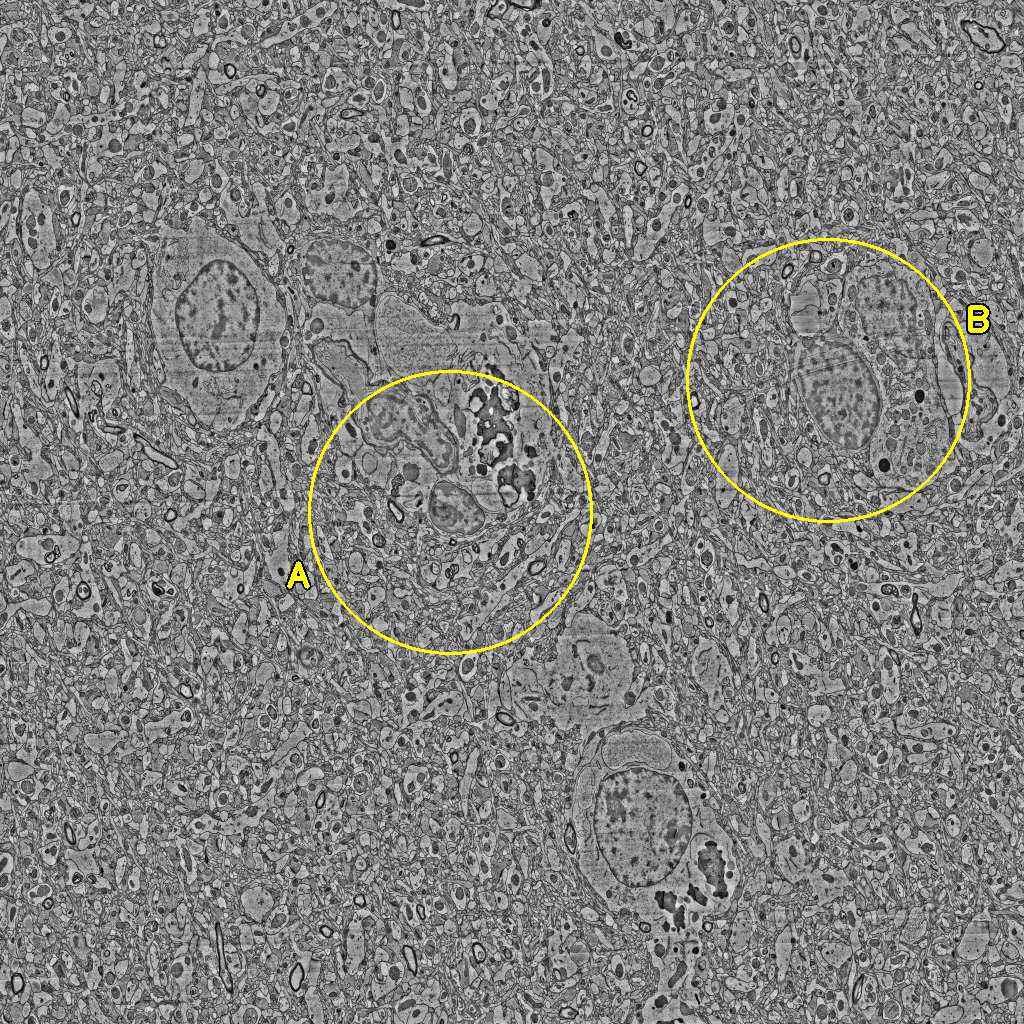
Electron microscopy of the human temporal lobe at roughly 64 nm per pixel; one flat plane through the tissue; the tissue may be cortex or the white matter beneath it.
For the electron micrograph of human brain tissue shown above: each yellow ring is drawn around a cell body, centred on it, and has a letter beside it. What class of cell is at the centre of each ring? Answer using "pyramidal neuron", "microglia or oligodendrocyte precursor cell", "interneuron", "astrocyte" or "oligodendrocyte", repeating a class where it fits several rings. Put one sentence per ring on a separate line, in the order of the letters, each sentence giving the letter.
At ring A, the central cell is a microglial cell or oligodendrocyte precursor cell.
At ring B, the central cell is an oligodendrocyte.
